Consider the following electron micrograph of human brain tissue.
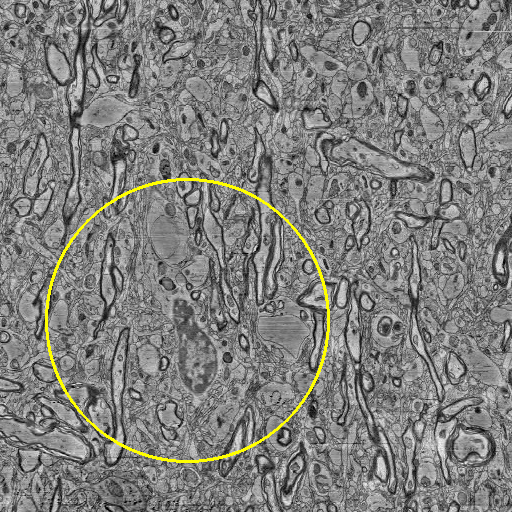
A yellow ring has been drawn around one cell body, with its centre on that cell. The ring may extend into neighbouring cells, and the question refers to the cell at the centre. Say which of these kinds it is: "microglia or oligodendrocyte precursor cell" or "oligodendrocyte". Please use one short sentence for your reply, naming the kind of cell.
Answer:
The centre of the ring falls on a microglial cell or oligodendrocyte precursor cell.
